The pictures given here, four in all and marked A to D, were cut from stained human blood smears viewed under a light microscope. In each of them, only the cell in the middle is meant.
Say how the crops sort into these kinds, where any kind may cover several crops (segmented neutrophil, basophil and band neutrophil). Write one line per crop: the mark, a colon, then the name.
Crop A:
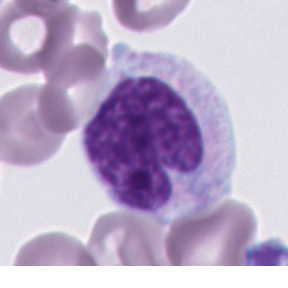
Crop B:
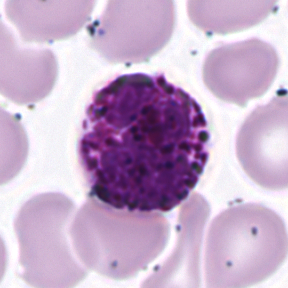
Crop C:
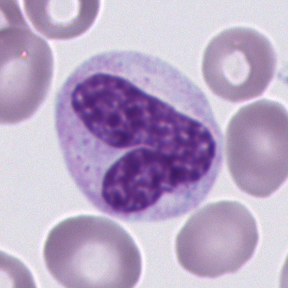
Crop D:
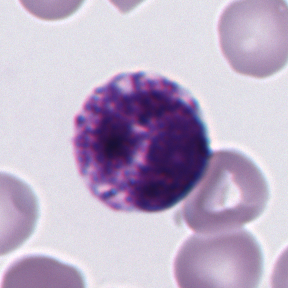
A: band neutrophil
B: basophil
C: band neutrophil
D: basophil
